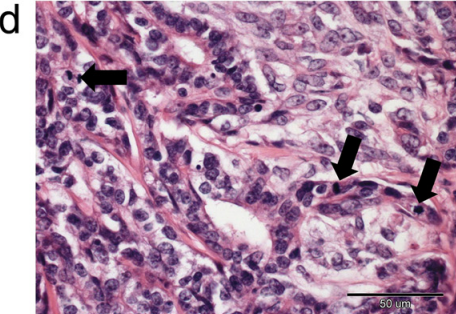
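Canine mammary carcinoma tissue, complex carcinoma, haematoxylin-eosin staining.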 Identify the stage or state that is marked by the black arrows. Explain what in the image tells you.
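The arrows point to small, dense, very dark chromatin bodies. These stand out against the larger, less dense nuclei around them.
Hence: mitoses.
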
